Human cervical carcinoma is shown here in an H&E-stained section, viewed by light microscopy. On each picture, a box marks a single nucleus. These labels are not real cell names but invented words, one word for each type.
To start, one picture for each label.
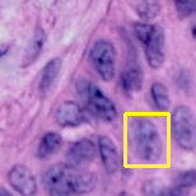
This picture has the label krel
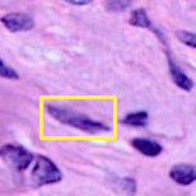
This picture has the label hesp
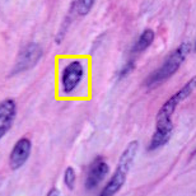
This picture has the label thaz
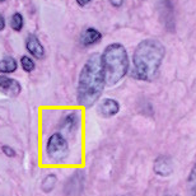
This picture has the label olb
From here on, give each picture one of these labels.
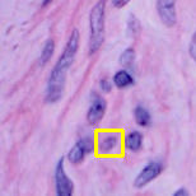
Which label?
olb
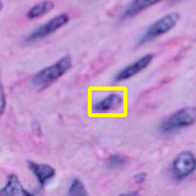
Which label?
olb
